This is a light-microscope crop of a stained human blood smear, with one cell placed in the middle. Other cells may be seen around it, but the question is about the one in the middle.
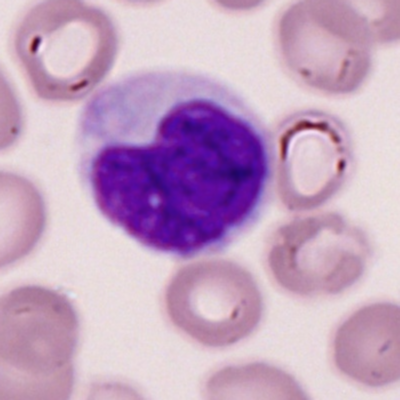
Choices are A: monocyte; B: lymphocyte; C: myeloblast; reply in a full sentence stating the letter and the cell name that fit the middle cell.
Since the cell in the centre is a lymphocyte, the correct option is B.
